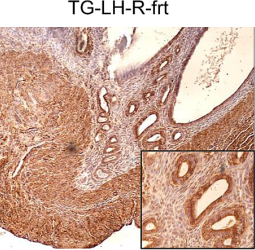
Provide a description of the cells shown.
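This is a section through the uterine wall. Many glands are grouped in the upper part of the lining. In the magnified inset, the gland epithelium itself appears distinctly brown, ringed by brown-tinged stromal cells with blue nuclei.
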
